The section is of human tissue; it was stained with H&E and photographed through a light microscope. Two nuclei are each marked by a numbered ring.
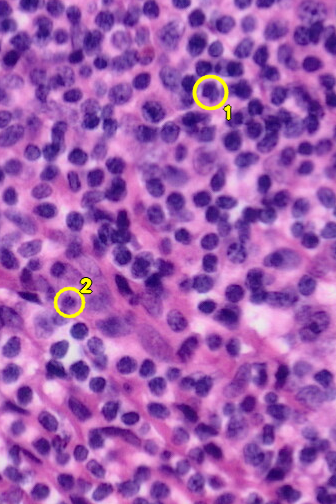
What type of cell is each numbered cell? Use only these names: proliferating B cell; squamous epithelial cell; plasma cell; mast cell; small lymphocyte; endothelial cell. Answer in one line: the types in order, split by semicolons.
small lymphocyte; endothelial cell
